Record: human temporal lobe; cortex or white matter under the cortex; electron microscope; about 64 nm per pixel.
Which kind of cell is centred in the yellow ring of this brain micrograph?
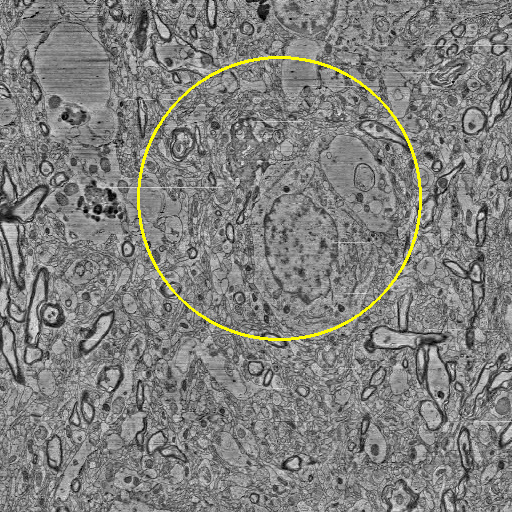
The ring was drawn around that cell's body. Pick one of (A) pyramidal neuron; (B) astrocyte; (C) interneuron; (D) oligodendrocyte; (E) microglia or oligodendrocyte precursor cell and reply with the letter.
C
